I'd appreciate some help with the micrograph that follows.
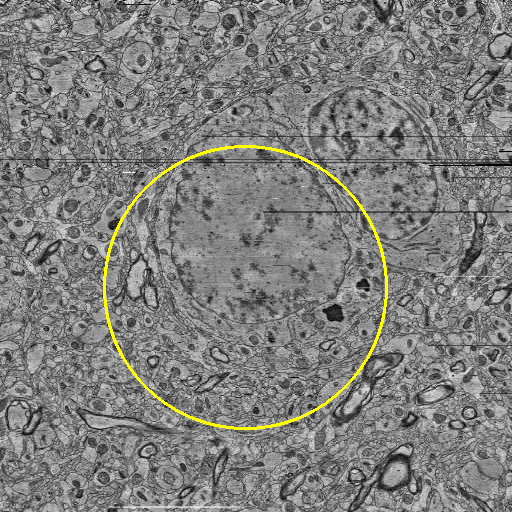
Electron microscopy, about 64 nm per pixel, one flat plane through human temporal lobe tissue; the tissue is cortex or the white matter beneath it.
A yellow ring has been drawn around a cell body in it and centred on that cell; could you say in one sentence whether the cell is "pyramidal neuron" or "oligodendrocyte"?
It is a pyramidal neuron at the centre of the ring.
